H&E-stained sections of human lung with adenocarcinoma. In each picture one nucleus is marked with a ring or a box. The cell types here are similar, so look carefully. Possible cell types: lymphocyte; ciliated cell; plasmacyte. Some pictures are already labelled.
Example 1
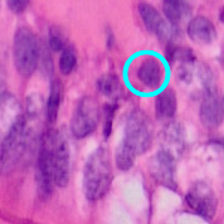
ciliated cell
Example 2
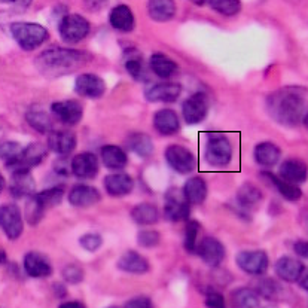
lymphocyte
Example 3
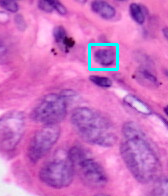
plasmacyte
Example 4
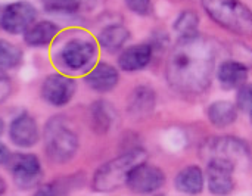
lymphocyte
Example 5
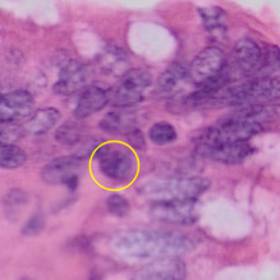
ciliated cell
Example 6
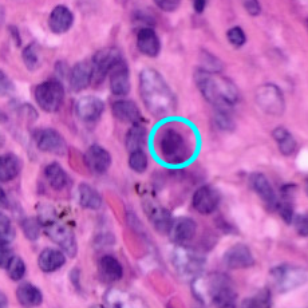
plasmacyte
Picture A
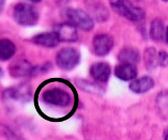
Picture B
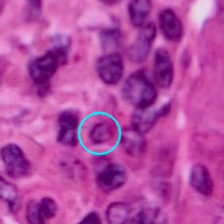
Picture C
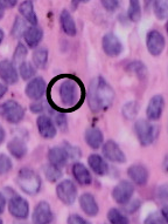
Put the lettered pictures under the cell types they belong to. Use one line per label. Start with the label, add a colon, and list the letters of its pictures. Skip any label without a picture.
lymphocyte: C
plasmacyte: A, B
